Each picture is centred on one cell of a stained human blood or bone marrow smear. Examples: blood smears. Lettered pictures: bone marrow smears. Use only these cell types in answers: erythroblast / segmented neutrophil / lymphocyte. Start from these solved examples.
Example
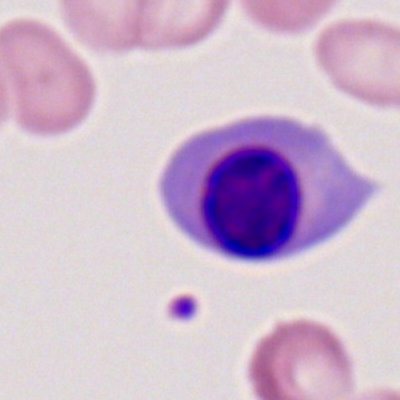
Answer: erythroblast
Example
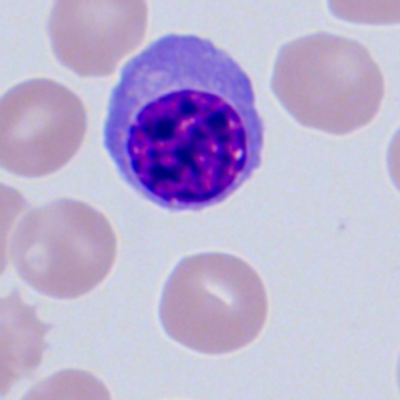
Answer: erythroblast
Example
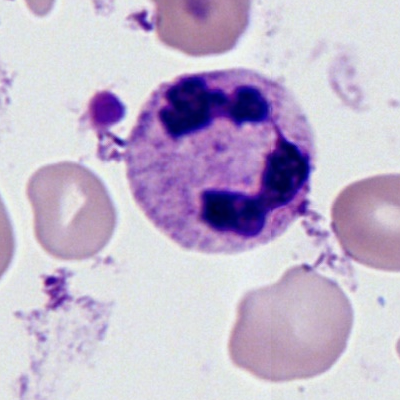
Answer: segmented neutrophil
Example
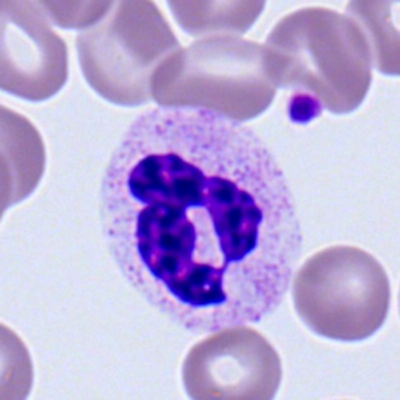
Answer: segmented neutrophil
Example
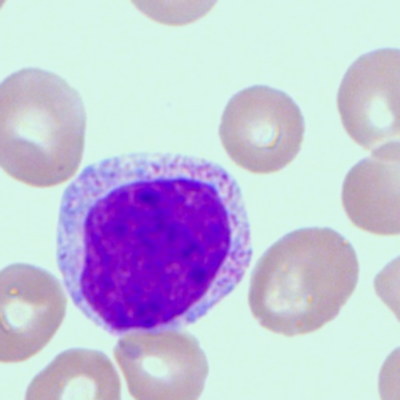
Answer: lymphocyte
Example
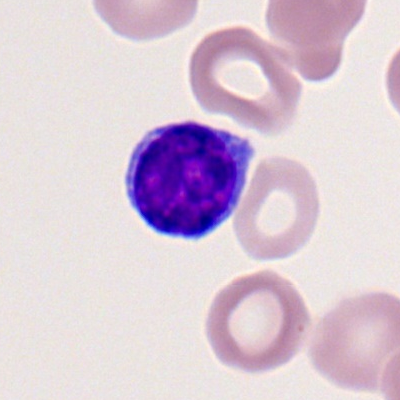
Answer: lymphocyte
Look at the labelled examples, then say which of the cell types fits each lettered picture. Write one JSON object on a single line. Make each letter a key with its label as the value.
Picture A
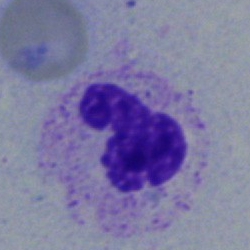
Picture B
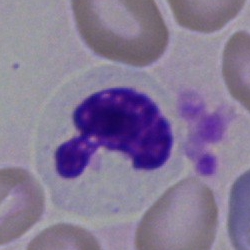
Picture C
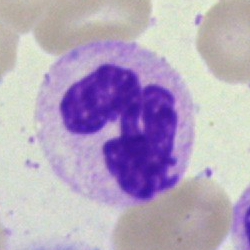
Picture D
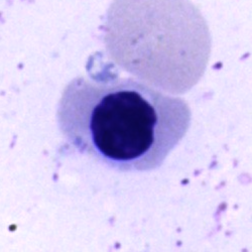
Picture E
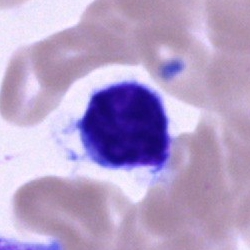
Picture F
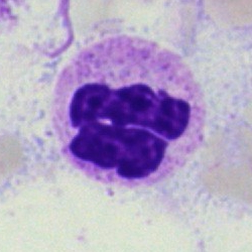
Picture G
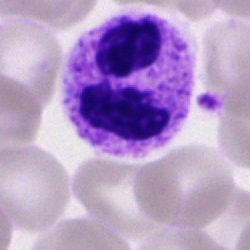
{"A": "segmented neutrophil", "B": "segmented neutrophil", "C": "segmented neutrophil", "D": "erythroblast", "E": "lymphocyte", "F": "segmented neutrophil", "G": "segmented neutrophil"}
